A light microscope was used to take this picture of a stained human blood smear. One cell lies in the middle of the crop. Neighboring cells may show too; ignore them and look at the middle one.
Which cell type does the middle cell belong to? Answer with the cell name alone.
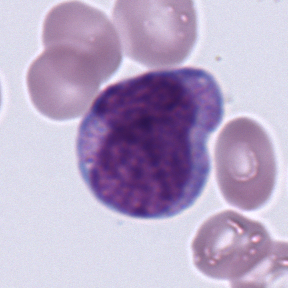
atypical promyelocyte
